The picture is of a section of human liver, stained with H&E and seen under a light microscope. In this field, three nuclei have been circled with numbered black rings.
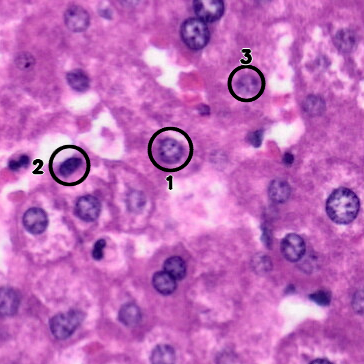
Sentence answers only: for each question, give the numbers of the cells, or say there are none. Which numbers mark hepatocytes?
The cells tagged 1 and 3 are hepatocytes in this tissue section.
